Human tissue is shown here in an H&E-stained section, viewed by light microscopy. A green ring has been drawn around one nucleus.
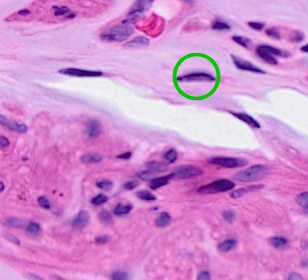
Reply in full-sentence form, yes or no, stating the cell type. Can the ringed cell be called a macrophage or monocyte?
No, rather than a macrophage or monocyte, the ringed cell is a fibroblast.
